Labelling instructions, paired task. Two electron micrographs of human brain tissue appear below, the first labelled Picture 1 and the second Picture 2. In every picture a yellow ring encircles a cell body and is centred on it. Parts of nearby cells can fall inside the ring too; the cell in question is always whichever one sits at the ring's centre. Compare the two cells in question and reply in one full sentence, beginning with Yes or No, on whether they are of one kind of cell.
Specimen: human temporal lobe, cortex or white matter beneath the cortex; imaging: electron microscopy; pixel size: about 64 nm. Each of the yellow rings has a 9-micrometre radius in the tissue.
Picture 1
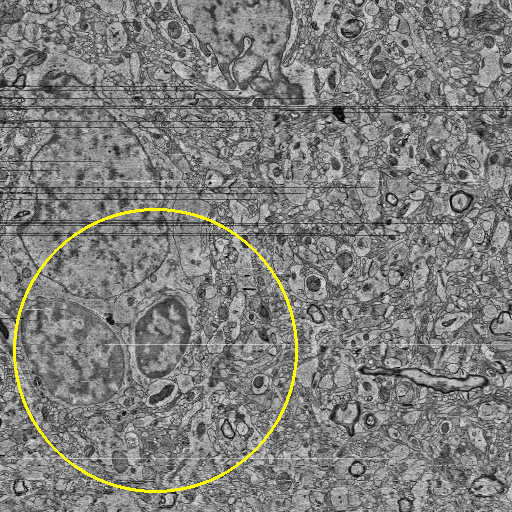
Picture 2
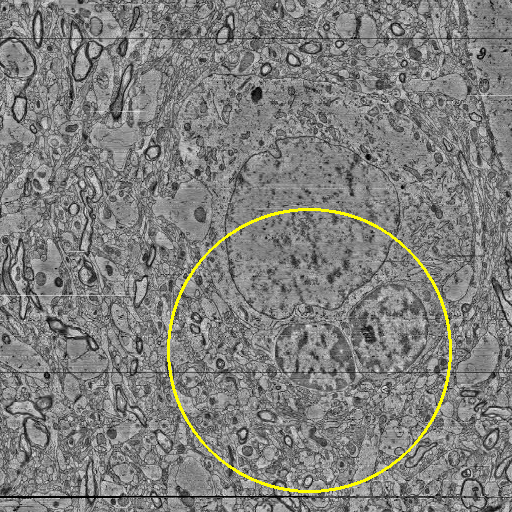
Yes, the two cells at the ring centres in Picture 1 and Picture 2 are of one kind.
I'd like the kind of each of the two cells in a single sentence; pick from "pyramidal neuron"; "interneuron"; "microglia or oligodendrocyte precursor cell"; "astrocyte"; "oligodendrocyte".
Each cell, in the first picture and the second, is a microglial cell or oligodendrocyte precursor cell.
